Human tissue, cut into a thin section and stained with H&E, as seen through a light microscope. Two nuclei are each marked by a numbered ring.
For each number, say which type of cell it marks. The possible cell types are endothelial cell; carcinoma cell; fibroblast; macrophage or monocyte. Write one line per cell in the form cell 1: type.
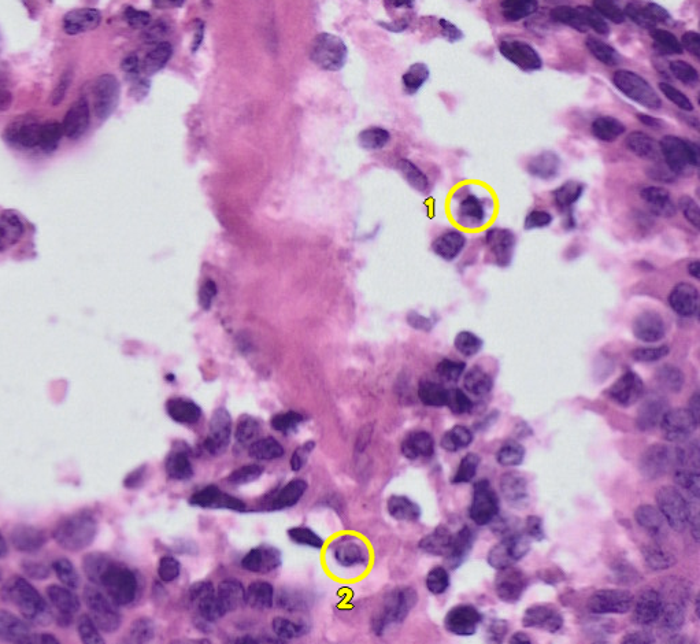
cell 1: carcinoma cell
cell 2: macrophage or monocyte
